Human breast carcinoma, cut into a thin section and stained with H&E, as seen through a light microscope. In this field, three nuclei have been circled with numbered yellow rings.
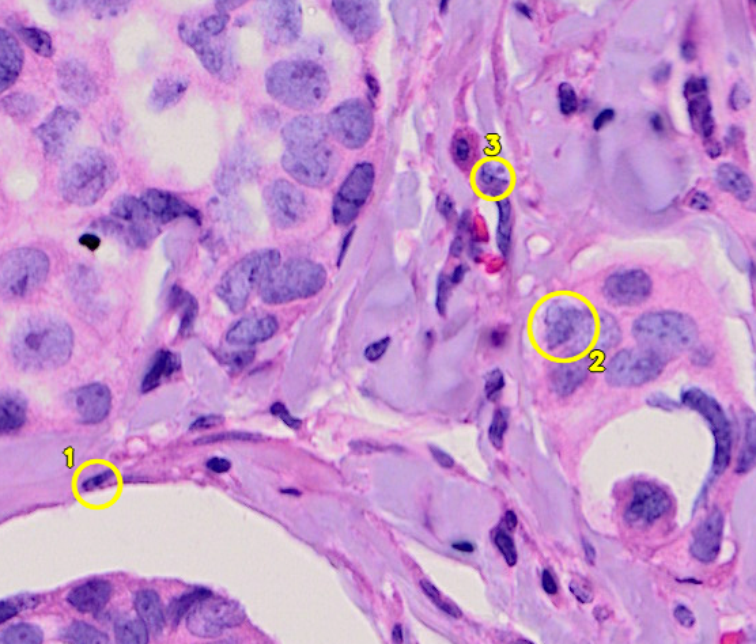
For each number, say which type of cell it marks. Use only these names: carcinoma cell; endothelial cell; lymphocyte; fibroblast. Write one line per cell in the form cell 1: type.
cell 1: fibroblast
cell 2: carcinoma cell
cell 3: endothelial cell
